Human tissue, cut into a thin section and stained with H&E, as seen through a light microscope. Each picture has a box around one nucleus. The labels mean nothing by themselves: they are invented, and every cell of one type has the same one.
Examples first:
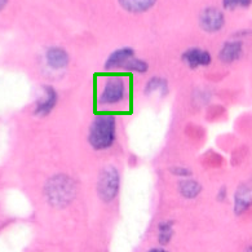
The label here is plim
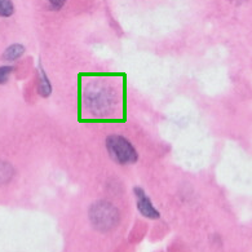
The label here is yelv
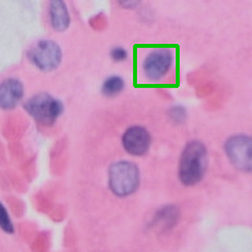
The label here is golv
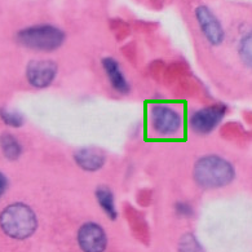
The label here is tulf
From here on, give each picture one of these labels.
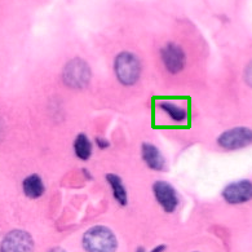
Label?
golv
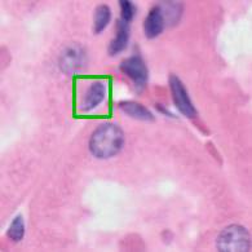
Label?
golv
